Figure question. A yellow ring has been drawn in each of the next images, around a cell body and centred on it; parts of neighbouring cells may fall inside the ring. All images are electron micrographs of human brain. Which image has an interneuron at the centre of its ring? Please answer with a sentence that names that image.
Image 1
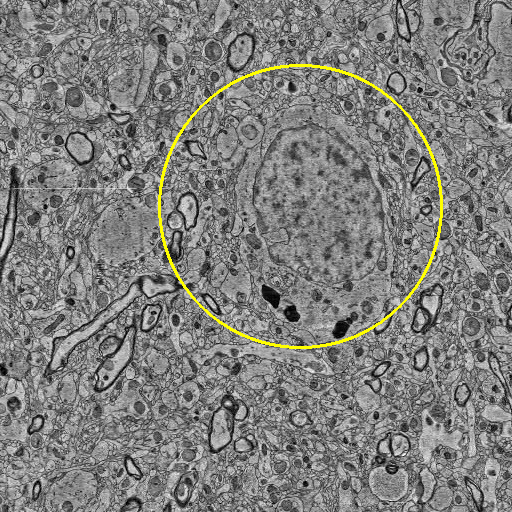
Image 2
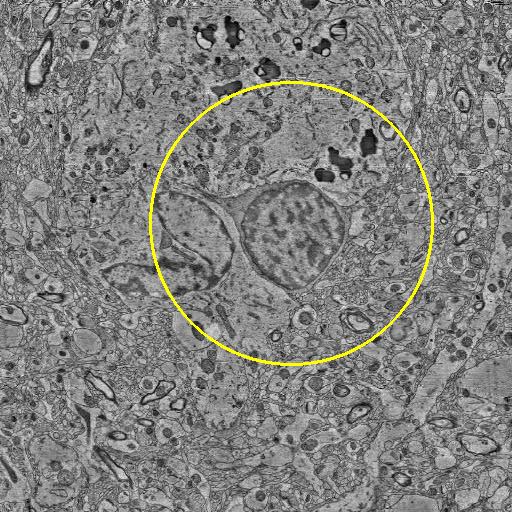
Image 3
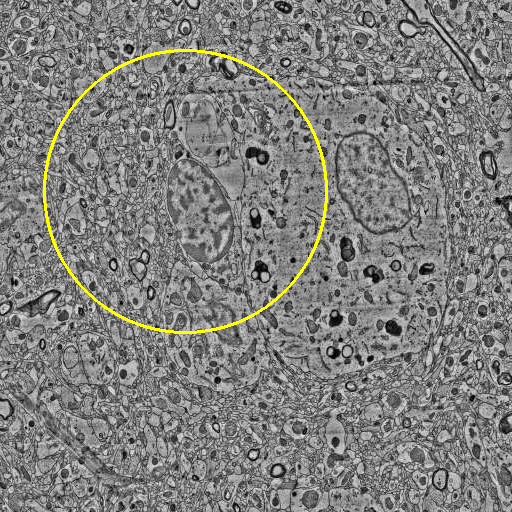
The cell at the centre of the ring in Image 1 is of that kind.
